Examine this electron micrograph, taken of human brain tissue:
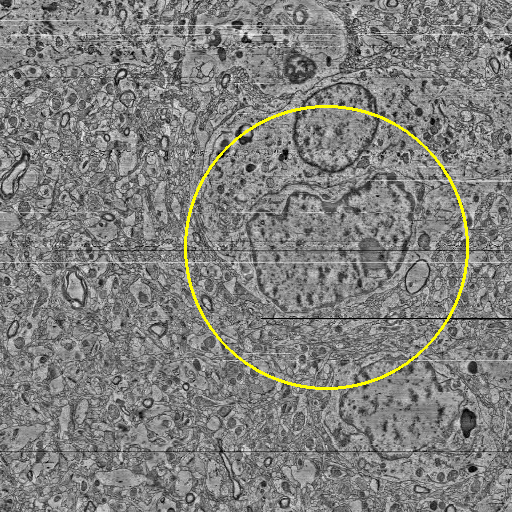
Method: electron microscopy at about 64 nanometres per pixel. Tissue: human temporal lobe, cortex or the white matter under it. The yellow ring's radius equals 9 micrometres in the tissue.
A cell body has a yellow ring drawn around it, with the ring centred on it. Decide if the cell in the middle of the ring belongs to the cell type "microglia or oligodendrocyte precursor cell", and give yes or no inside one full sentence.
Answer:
Yes, the cell at the centre of the yellow ring in this picture is of that type.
